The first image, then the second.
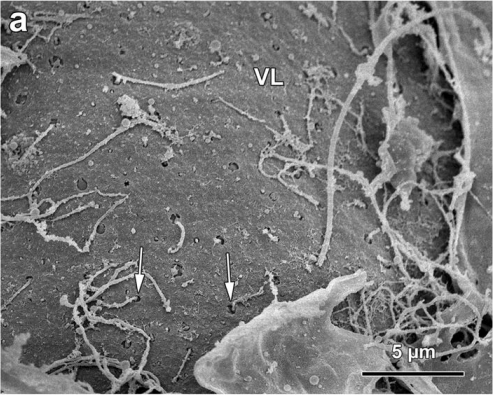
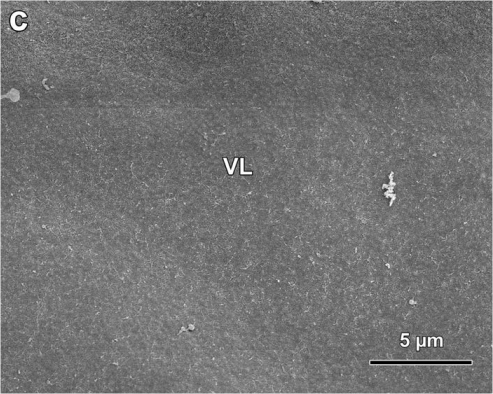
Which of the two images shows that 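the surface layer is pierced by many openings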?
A: the first image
